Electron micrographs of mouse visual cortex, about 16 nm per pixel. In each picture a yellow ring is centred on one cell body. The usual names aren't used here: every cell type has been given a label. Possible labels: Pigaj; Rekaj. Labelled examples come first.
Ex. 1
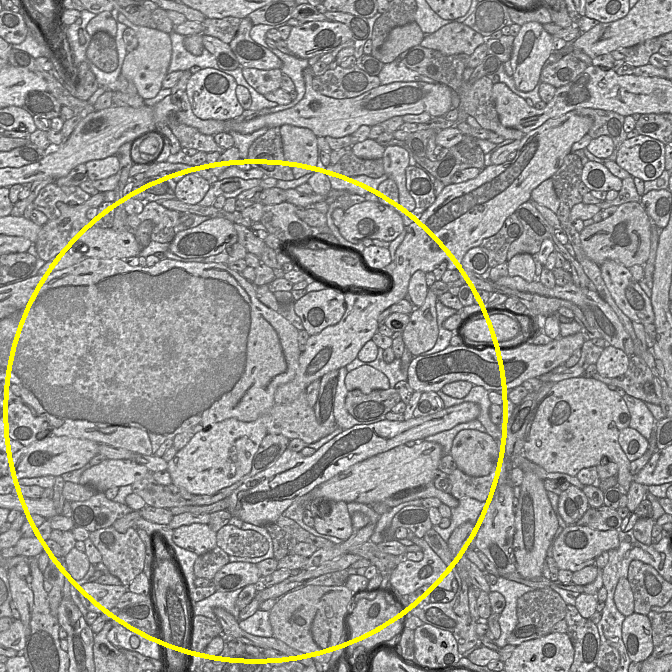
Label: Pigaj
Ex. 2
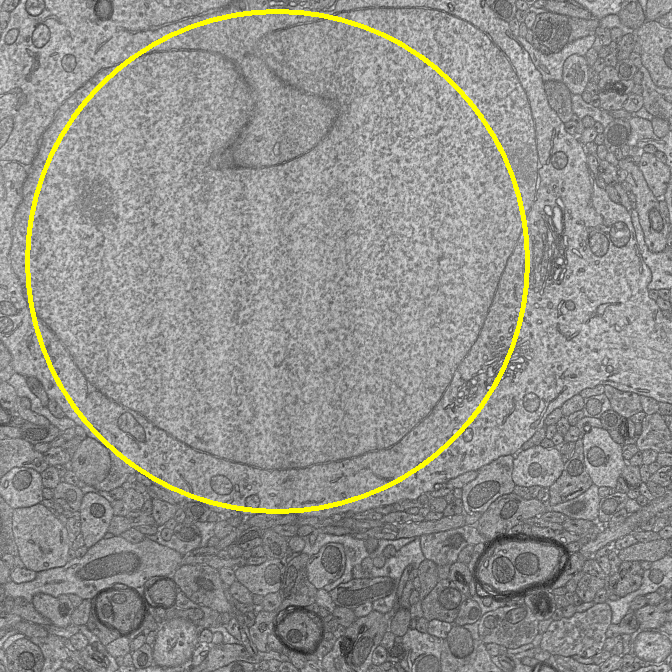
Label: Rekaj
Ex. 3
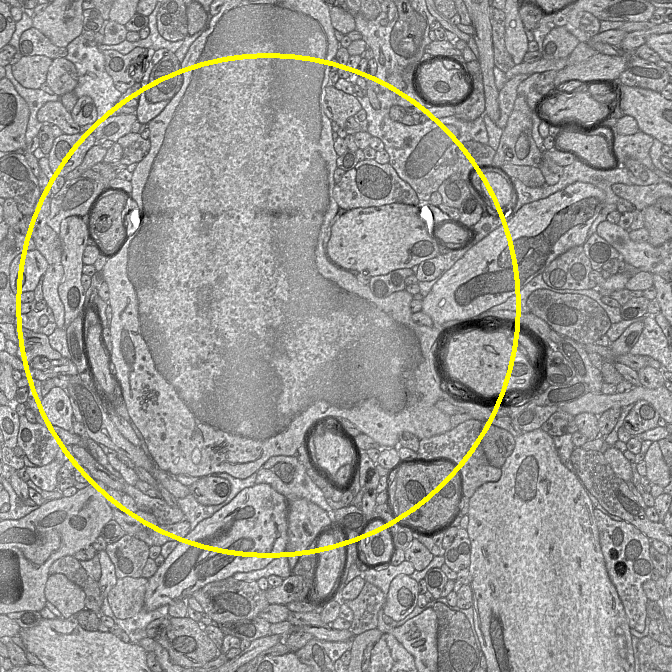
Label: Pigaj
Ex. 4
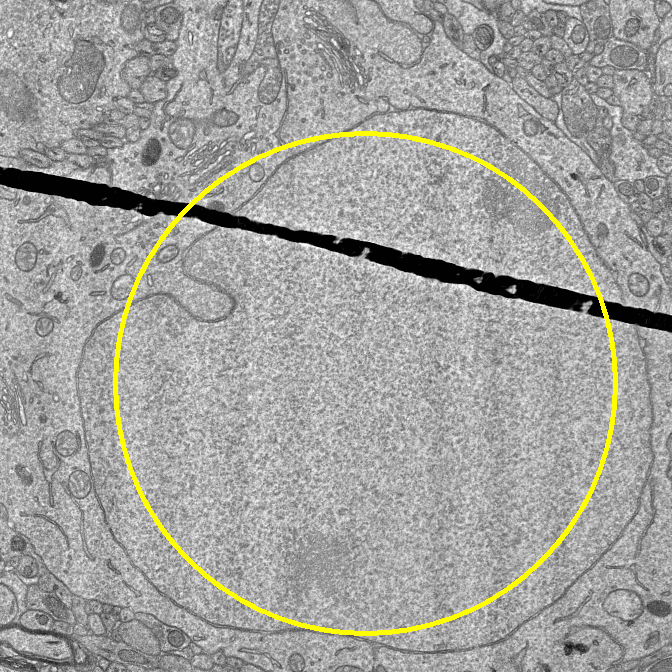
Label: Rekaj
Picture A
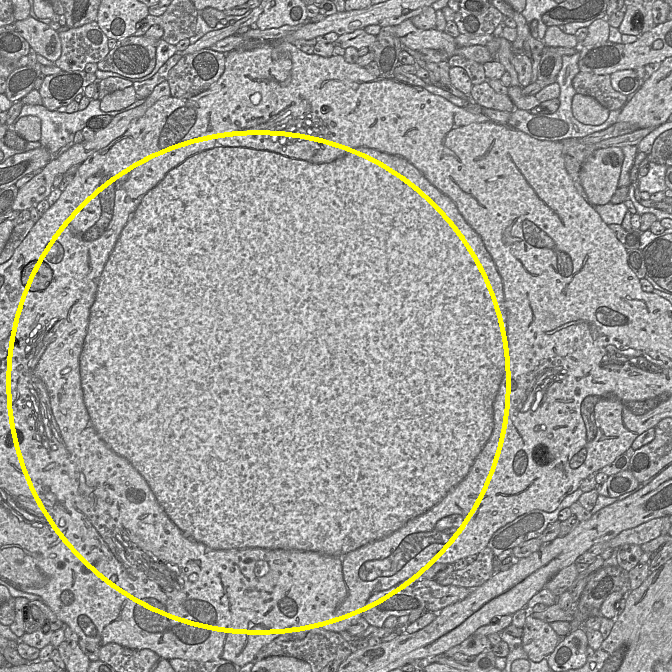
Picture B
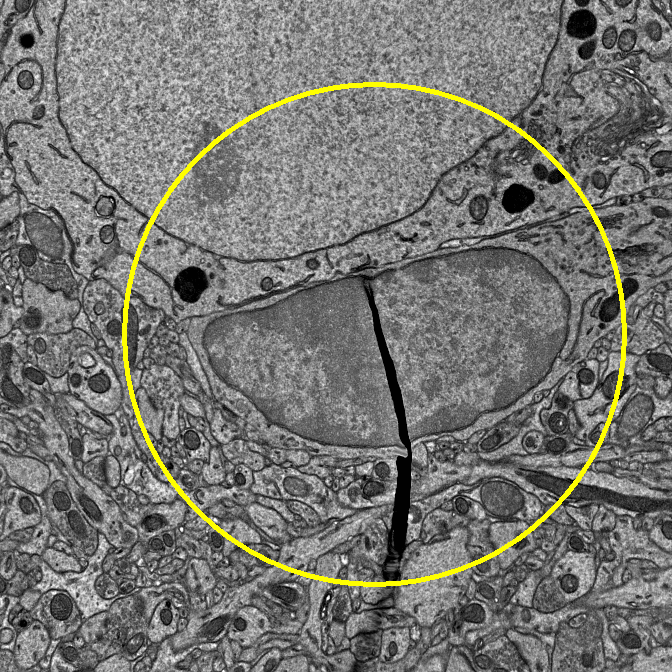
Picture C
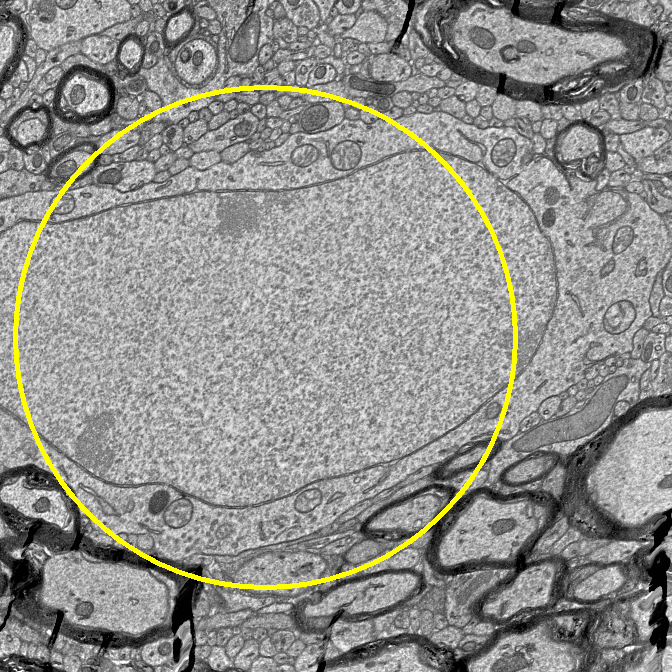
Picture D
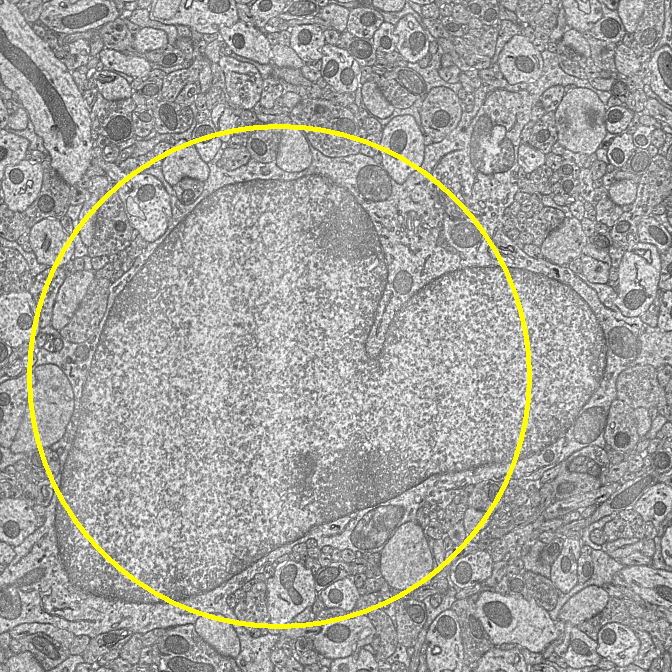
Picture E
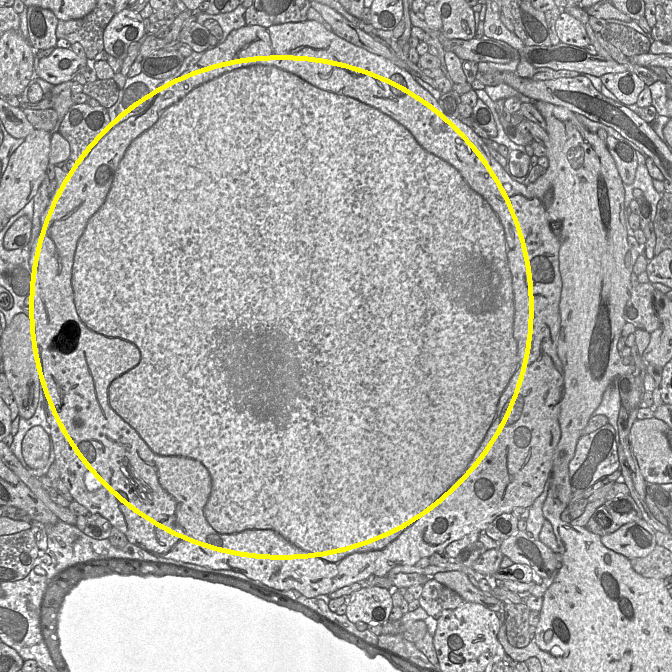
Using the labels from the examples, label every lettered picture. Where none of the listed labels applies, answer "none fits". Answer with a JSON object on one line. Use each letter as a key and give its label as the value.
{"A": "Rekaj", "B": "Pigaj", "C": "Rekaj", "D": "none fits", "E": "Rekaj"}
